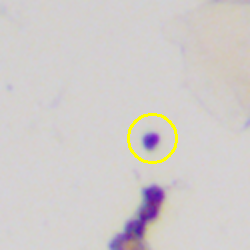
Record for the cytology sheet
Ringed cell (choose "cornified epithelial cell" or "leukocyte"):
leukocyte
